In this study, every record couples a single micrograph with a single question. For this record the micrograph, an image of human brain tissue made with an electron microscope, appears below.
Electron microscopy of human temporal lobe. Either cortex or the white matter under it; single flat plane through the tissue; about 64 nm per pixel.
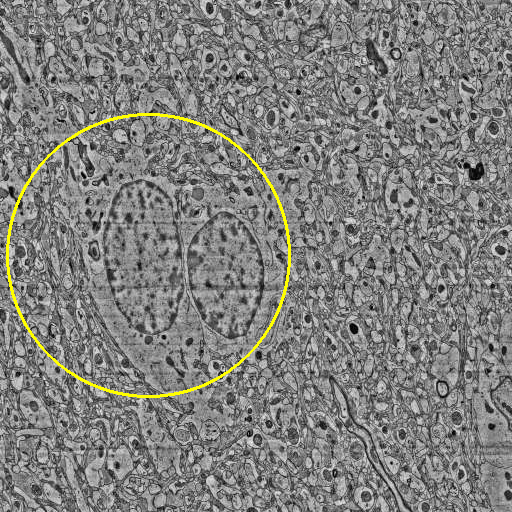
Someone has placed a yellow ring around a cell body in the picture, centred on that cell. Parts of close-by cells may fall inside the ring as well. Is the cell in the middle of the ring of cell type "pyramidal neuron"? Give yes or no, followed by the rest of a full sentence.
No, the cell centred in the ring shown in the picture has a different cell type.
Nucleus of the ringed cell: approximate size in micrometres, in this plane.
In this plane, the nucleus of the cell at the centre of the ring measures about 10 by 5 micrometres.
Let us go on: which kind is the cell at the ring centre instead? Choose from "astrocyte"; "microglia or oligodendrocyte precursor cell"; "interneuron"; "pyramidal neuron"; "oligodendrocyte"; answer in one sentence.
At the centre of the ring sits an astrocyte.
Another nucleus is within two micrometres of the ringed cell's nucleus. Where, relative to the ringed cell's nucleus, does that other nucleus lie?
The other nucleus is found to the right of it.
